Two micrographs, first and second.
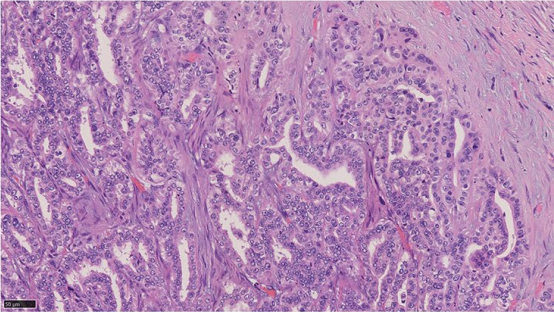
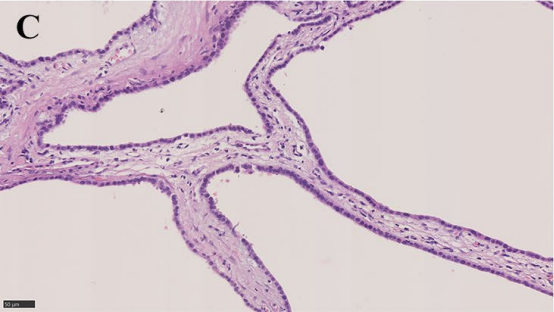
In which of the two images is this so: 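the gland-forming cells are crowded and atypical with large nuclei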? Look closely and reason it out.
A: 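The first image. Second image: a single thin layer of small, regular cuboidal cells lines wide spaces. First image: crowded cells with large nuclei and nucleoli form small irregular glands.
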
